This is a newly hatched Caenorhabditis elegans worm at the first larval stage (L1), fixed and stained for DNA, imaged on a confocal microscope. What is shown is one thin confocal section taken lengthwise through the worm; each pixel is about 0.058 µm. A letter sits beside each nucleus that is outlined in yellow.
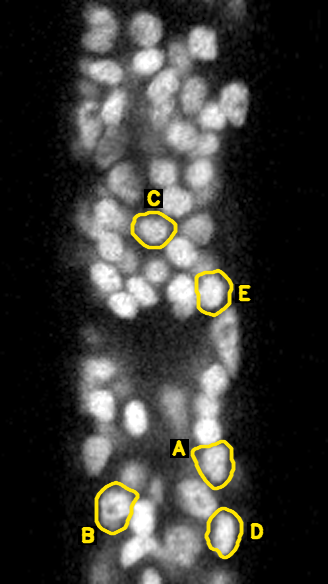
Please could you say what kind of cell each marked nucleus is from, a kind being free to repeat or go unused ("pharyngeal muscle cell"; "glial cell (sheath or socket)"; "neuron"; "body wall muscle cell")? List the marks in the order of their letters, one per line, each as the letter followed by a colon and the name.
A: neuron
B: pharyngeal muscle cell
C: neuron
D: glial cell (sheath or socket)
E: neuron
